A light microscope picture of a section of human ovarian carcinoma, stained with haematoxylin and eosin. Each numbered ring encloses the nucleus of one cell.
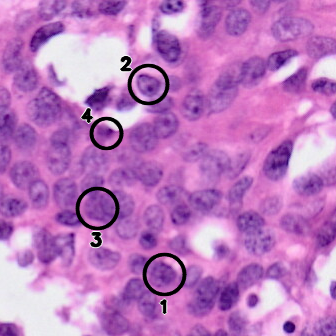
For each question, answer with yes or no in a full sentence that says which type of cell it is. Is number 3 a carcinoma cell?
Yes, looking at number 3, that cell is a carcinoma cell.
